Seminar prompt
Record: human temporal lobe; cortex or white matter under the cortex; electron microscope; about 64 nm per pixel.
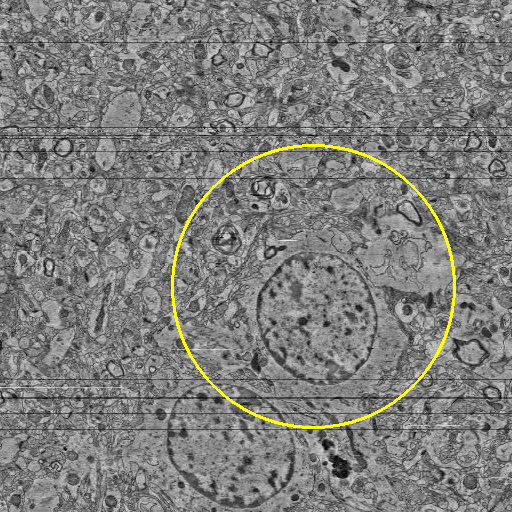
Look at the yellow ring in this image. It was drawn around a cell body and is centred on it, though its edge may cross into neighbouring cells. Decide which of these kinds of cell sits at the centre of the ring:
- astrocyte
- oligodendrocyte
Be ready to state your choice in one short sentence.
The kind of cell at the ring's centre is an astrocyte.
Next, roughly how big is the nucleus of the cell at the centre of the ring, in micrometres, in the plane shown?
The ringed cell's nucleus is about 8 micrometres across in this plane.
